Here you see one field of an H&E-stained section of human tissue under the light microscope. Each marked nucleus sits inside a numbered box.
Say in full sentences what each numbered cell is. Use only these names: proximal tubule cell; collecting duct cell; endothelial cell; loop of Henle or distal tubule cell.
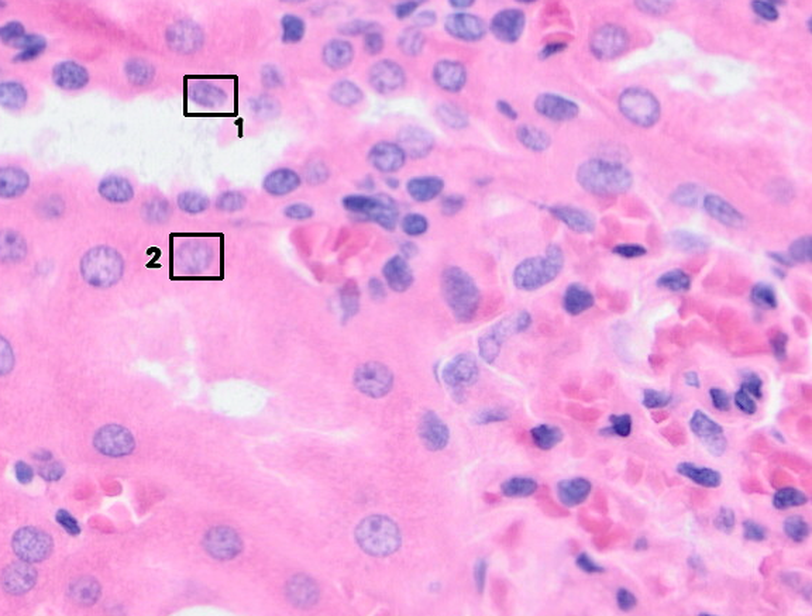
Cell 1 is a loop of Henle or distal tubule cell. Cell 2 is a proximal tubule cell.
